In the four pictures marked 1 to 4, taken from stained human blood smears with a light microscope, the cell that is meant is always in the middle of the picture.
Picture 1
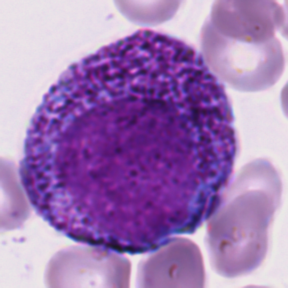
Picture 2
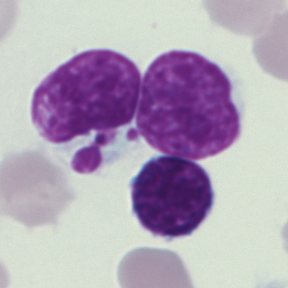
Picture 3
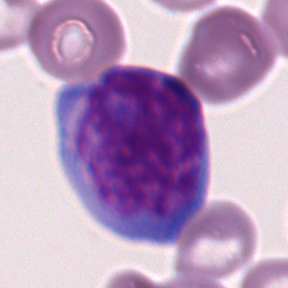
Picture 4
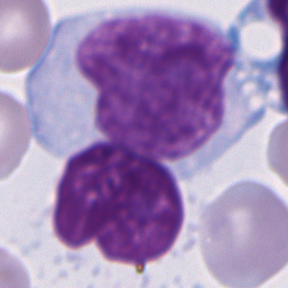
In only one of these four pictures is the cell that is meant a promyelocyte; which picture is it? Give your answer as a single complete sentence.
The picture with the promyelocyte is 1.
